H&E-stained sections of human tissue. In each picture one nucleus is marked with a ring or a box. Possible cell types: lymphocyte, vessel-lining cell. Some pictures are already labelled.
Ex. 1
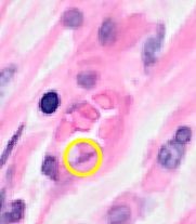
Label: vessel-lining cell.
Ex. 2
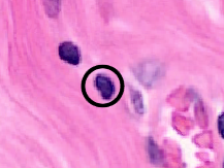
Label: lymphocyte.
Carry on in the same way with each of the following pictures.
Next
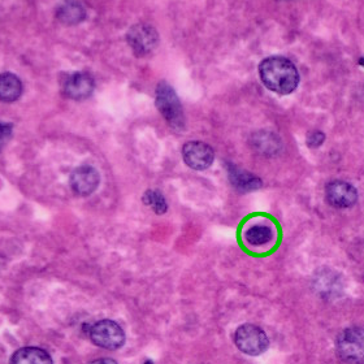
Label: lymphocyte.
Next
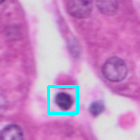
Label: lymphocyte.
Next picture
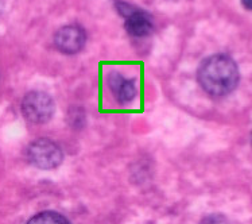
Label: vessel-lining cell.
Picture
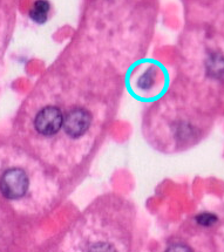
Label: lymphocyte.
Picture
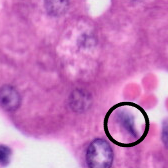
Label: vessel-lining cell.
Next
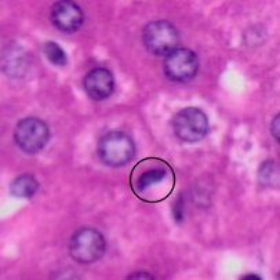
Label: vessel-lining cell.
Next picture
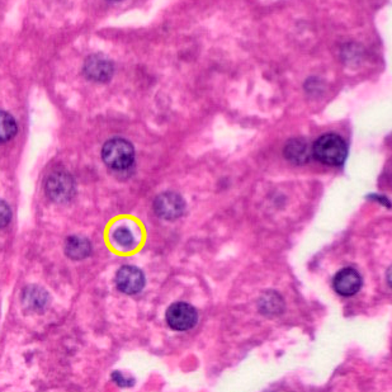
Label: lymphocyte.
